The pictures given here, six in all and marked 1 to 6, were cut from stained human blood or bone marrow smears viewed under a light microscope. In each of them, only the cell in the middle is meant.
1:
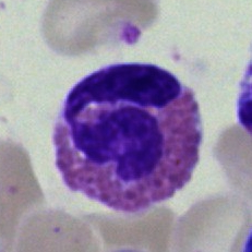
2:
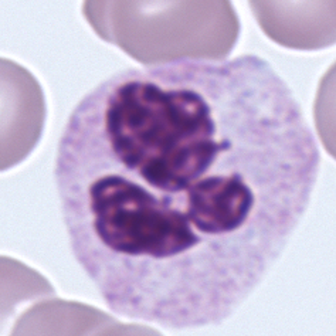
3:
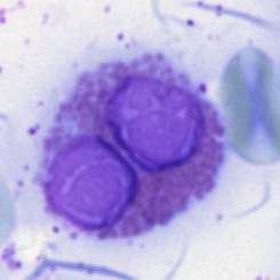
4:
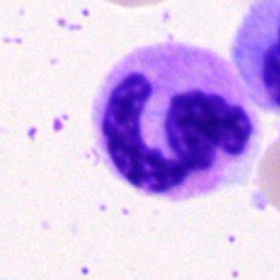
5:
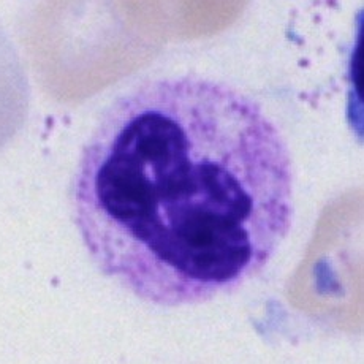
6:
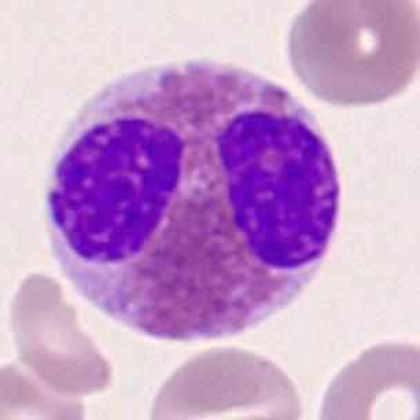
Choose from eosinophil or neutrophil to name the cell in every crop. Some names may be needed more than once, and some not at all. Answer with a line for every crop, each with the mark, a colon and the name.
1: eosinophil
2: neutrophil
3: eosinophil
4: neutrophil
5: neutrophil
6: eosinophil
